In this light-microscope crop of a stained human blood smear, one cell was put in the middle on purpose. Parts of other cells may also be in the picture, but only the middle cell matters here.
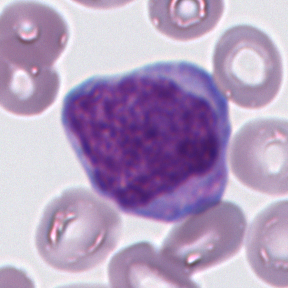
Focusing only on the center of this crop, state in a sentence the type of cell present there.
The middle of this crop is occupied by an atypical promyelocyte.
